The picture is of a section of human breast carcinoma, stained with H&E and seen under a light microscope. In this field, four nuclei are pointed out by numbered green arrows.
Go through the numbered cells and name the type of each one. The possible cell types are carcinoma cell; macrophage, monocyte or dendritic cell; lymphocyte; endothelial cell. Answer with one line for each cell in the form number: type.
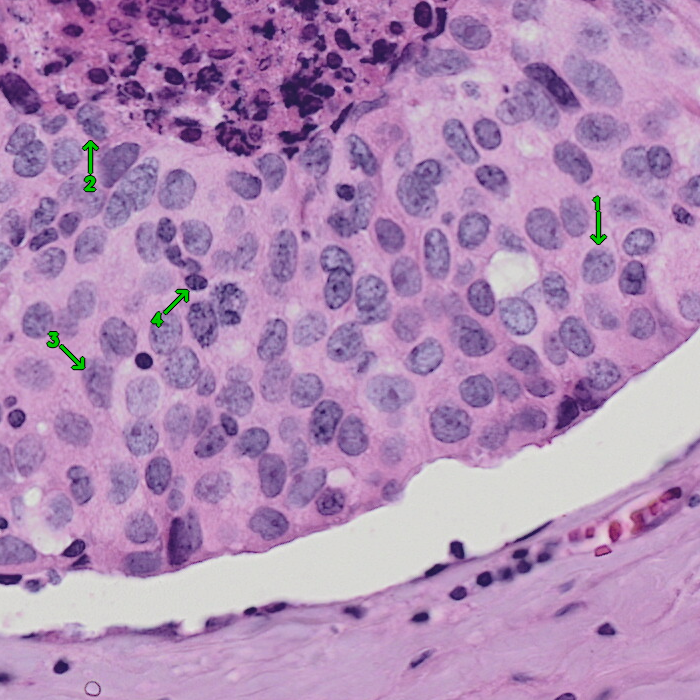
1: carcinoma cell
2: carcinoma cell
3: carcinoma cell
4: lymphocyte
